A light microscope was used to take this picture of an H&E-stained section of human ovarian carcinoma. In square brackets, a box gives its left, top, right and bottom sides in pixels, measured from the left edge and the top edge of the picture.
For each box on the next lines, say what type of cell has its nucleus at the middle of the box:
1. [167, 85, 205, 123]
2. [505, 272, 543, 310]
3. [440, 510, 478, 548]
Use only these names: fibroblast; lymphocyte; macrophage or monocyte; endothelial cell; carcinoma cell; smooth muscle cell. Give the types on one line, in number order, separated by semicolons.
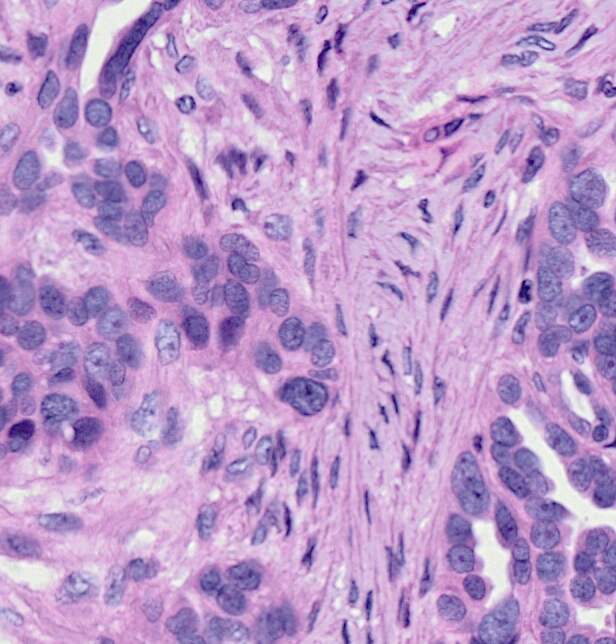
macrophage or monocyte; lymphocyte; carcinoma cell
